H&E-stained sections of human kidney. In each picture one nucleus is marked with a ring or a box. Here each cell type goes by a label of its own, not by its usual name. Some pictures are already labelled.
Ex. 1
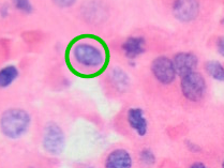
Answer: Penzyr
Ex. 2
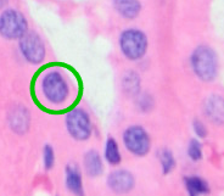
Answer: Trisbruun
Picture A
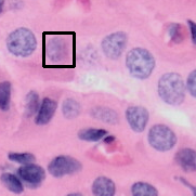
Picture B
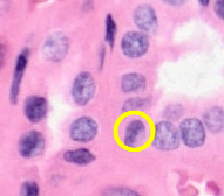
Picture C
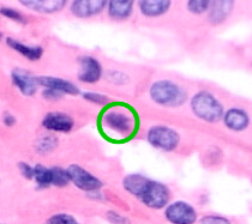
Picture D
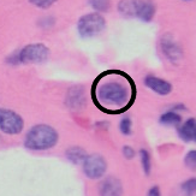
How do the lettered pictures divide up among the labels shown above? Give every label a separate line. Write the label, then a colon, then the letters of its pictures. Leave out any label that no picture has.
Penzyr: C, D
Trisbruun: A, B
